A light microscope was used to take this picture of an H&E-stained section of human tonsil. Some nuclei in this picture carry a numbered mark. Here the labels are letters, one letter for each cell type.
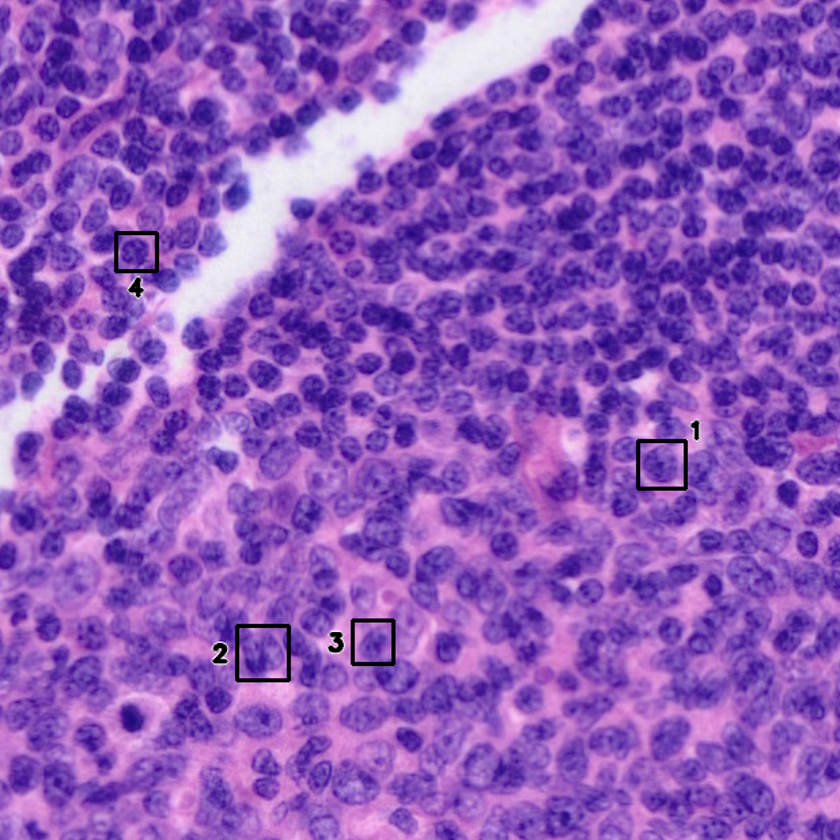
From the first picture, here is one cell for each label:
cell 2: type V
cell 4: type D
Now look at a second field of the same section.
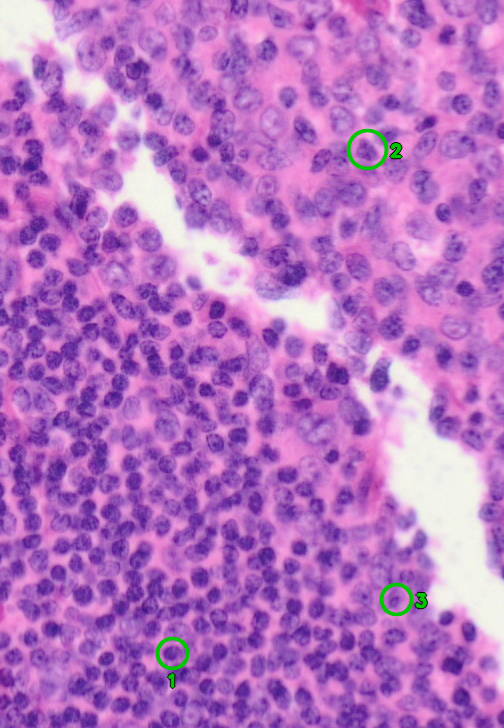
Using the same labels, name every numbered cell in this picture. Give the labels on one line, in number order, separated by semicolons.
type D; type V; type V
